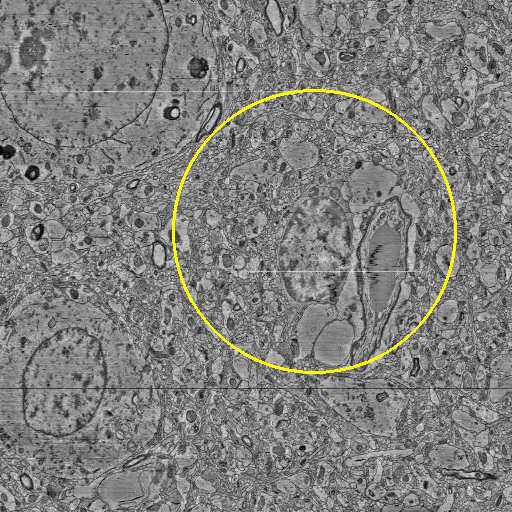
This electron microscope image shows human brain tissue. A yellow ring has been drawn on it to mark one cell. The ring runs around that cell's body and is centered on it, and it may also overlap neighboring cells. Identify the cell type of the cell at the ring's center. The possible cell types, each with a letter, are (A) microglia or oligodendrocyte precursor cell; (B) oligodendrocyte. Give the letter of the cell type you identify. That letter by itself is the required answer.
B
